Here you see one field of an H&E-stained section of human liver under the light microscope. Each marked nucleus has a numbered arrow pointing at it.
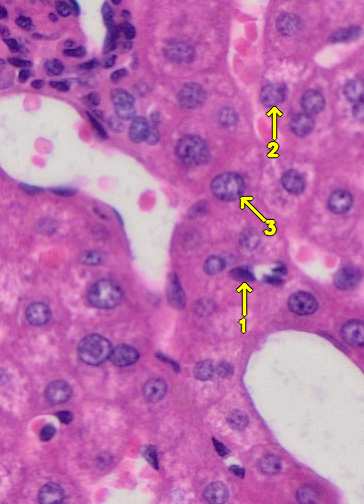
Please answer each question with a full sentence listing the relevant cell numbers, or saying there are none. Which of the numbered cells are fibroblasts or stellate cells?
There is just one numbered cell that is a fibroblast or stellate cell, and it is cell 1.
